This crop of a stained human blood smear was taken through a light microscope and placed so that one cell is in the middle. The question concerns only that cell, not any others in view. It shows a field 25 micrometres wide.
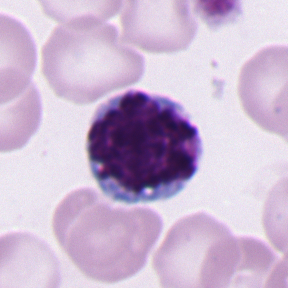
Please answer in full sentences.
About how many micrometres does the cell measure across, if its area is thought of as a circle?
It measures about 10 micrometres across.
